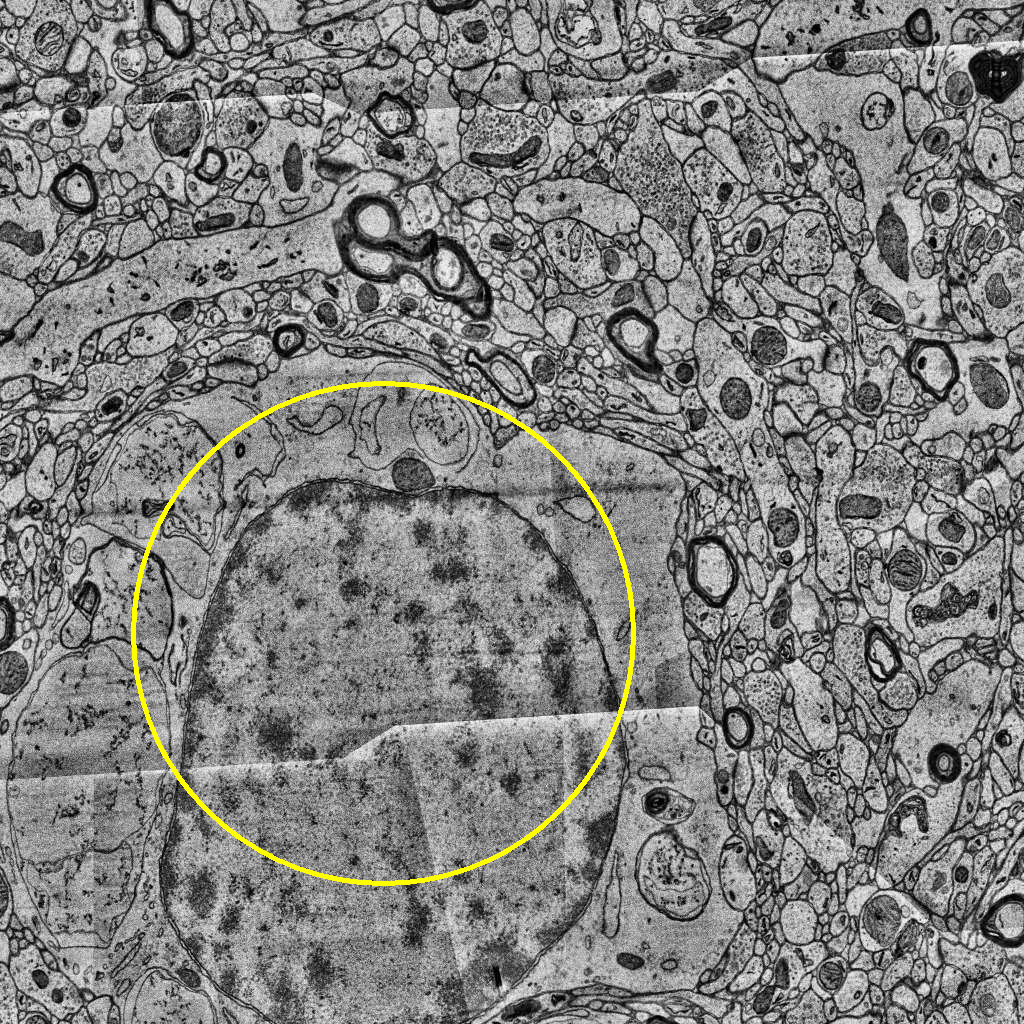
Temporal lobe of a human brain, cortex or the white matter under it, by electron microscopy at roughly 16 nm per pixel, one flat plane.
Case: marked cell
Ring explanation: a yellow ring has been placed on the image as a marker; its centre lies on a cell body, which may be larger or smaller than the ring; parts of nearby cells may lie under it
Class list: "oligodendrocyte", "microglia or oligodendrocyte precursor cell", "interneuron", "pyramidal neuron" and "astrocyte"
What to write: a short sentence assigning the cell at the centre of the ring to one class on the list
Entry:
The cell at the ring's centre is an astrocyte.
